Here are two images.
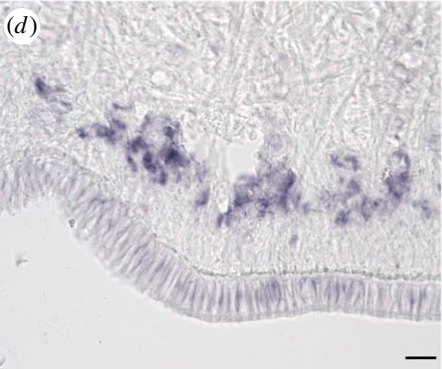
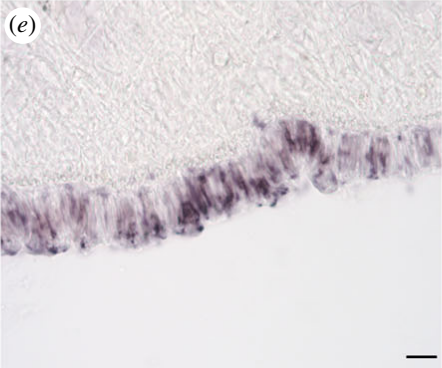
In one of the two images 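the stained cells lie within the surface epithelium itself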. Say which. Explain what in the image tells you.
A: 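Second image: purple stain fills the tall columnar surface cells. First image: the columnar surface layer is pale, and the purple clusters lie in a band beneath it. That points to this answer: the second image.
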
